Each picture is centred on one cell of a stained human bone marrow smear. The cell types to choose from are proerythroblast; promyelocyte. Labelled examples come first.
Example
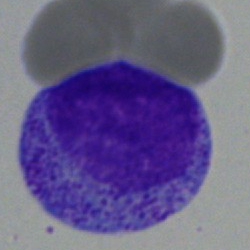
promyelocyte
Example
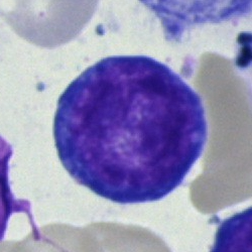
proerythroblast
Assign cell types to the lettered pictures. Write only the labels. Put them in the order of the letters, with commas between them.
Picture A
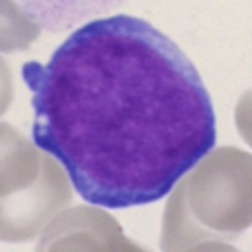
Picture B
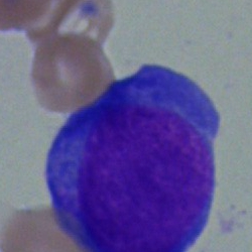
proerythroblast, proerythroblast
